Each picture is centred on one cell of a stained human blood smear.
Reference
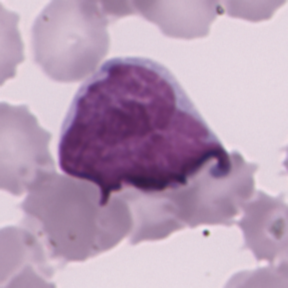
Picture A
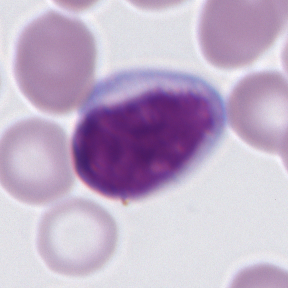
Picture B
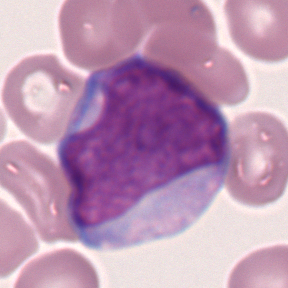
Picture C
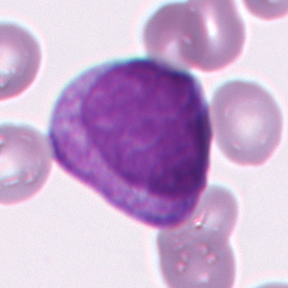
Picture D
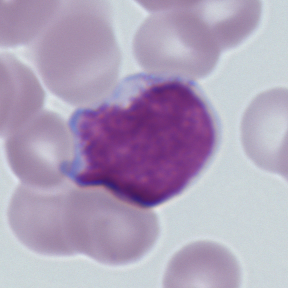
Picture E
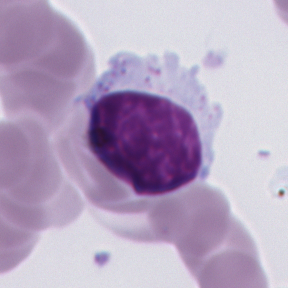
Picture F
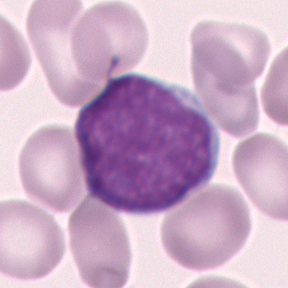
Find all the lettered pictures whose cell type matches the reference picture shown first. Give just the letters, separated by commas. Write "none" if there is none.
F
